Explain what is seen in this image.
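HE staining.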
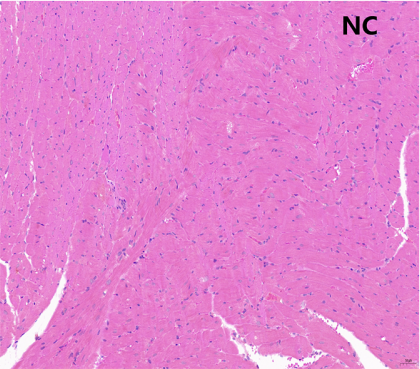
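Myocardial tissue made of pink, branching muscle fibres running in orderly parallel bundles with elongated nuclei lying within the fibres. The spaces between fibres are narrow and hold few cells, with no clusters of inflammatory cells.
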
